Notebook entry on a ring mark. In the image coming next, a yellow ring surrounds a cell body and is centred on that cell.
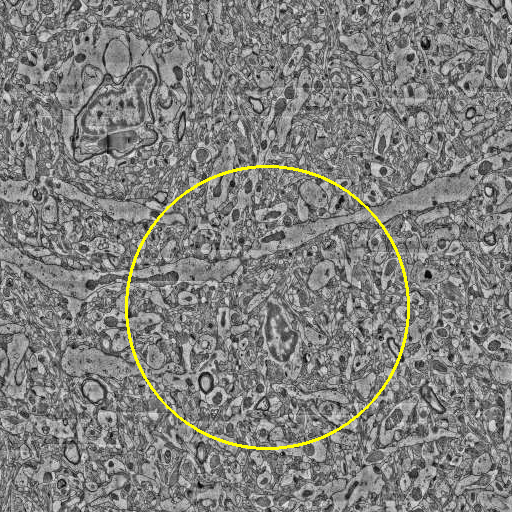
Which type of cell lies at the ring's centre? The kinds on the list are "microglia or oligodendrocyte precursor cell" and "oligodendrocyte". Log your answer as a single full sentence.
Centred in the yellow ring is a microglial cell or oligodendrocyte precursor cell, the cell recorded for this image.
